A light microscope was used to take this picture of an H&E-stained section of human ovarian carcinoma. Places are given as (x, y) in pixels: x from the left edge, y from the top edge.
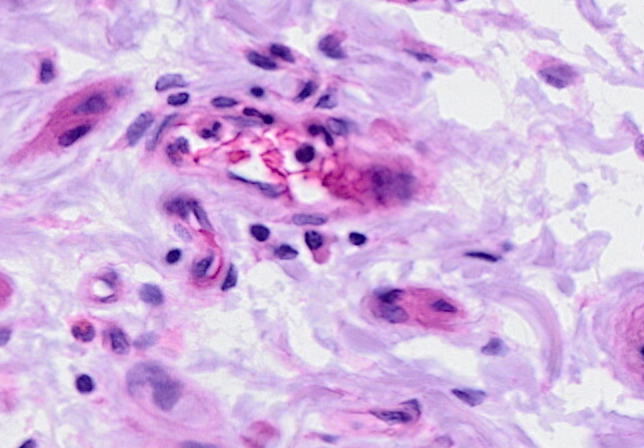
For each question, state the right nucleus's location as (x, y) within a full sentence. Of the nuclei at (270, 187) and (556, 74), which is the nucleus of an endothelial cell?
Identify the nucleus at (270, 187) as the one belonging to an endothelial cell.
